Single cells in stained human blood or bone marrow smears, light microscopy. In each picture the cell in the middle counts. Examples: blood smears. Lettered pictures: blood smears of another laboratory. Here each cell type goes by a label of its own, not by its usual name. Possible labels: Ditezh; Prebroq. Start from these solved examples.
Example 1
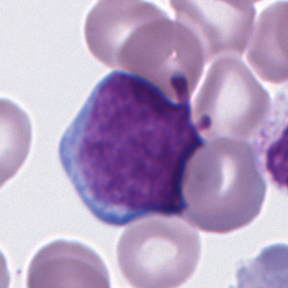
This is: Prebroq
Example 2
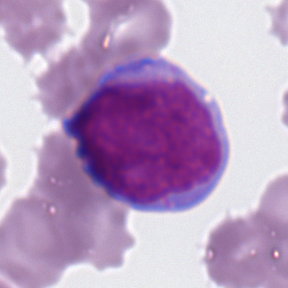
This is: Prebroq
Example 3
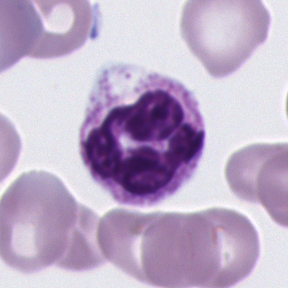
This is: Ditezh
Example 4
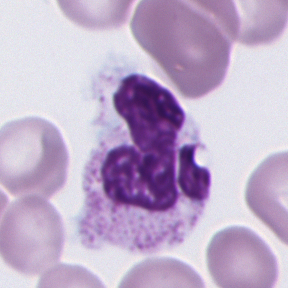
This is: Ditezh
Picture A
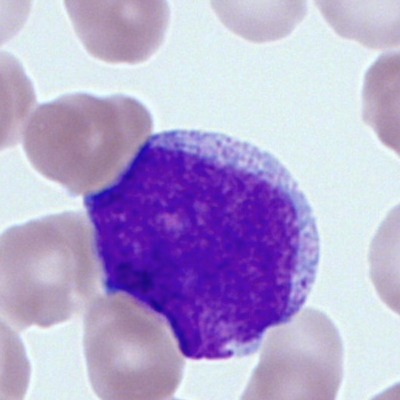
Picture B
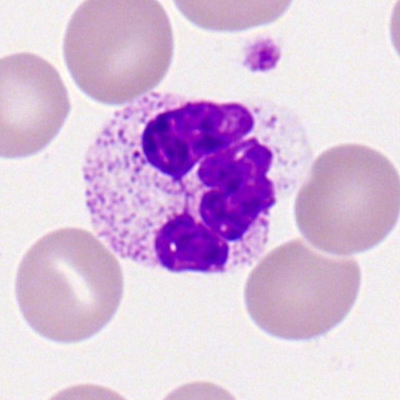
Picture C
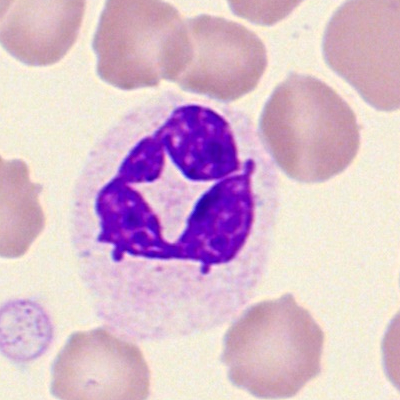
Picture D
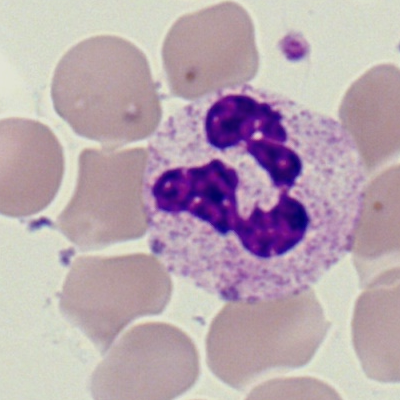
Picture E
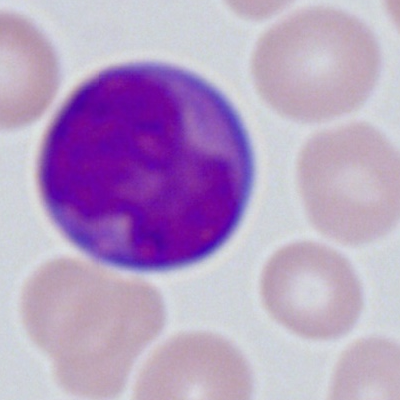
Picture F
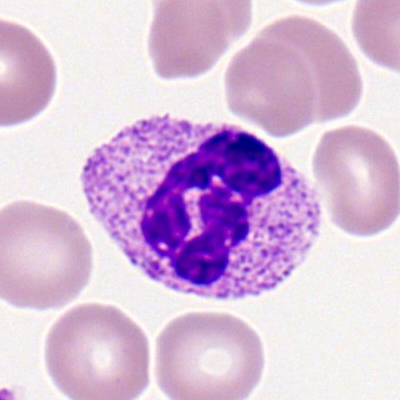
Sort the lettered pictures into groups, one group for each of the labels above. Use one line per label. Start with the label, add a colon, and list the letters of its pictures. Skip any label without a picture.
Ditezh: B, C, D, F
Prebroq: A, E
